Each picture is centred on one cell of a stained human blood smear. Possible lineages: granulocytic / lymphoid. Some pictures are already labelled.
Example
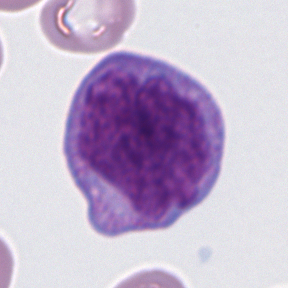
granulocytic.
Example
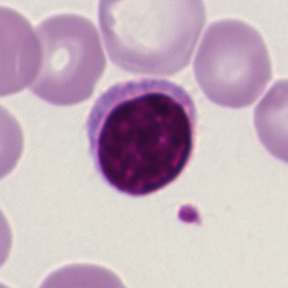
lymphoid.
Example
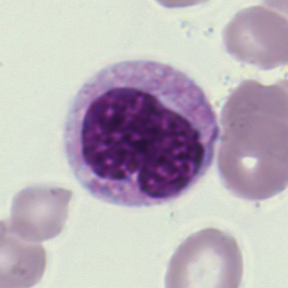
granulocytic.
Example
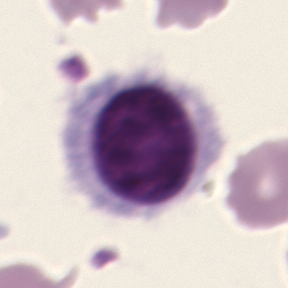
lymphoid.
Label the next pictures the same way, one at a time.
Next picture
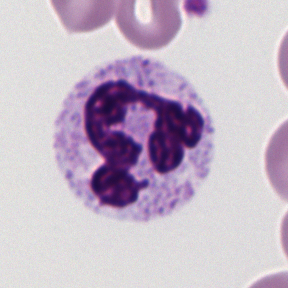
granulocytic.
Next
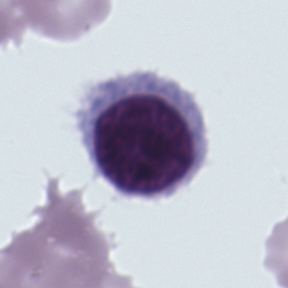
lymphoid.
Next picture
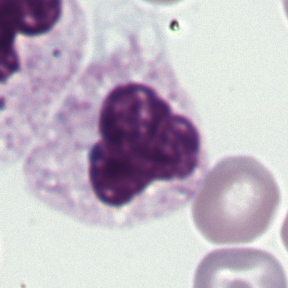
granulocytic.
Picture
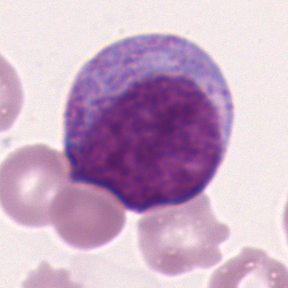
granulocytic.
